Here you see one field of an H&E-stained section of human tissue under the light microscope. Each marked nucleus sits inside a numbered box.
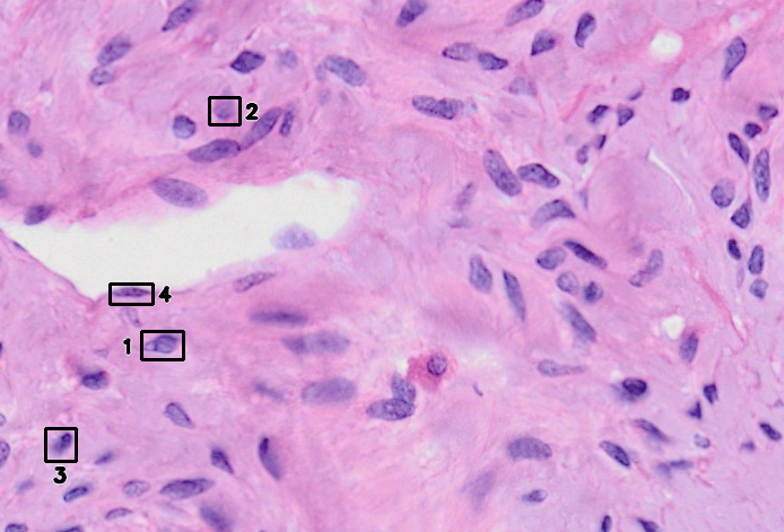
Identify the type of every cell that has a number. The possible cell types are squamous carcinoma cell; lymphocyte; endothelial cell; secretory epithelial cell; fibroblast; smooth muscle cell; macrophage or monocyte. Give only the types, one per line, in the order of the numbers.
fibroblast
fibroblast
fibroblast
endothelial cell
